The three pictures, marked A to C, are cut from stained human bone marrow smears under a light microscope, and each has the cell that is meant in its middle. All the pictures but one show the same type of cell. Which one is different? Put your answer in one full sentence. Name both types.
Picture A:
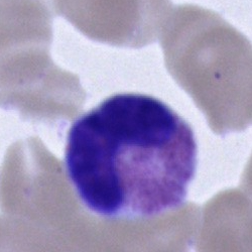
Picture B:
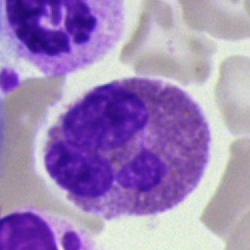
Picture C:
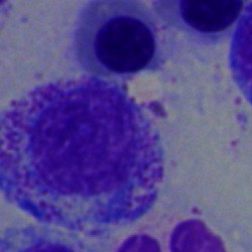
Picture C is the odd one out: it shows a myelocyte, while the others show eosinophils.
